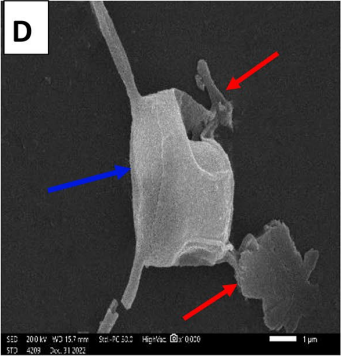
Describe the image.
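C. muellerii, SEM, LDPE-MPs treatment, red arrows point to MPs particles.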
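A single box-shaped diatom cell lies in the centre, with long thin spines extending from its corners. The wall surface is finely textured, with a curved fold running across one side. Irregular flat flakes with jagged, lobed edges lie beside the cell, one near the upper right corner and a larger one at the lower right corner touching the cell.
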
